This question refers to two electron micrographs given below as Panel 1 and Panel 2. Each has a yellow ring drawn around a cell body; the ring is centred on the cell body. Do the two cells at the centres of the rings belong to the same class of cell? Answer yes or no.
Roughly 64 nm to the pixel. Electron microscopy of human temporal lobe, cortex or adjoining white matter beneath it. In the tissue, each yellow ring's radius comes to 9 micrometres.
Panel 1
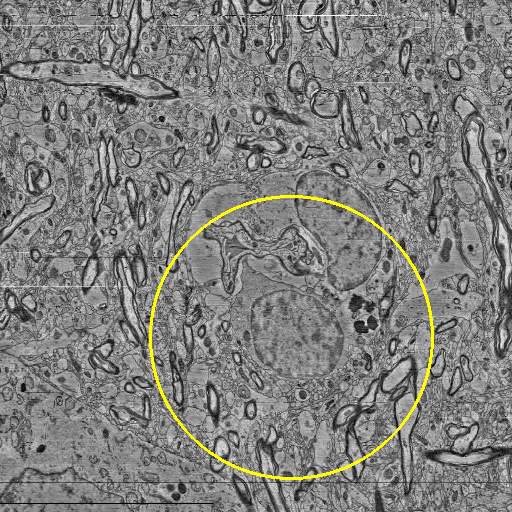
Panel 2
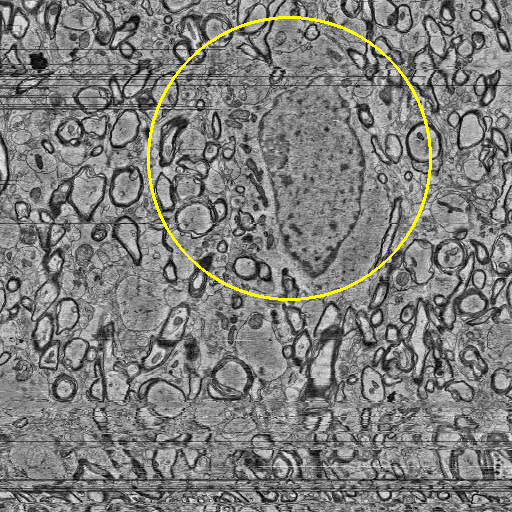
no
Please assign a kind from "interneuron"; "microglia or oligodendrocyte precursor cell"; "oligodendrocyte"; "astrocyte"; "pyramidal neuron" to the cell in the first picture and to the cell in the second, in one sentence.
In the first picture we have an oligodendrocyte, and in the second, an astrocyte.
